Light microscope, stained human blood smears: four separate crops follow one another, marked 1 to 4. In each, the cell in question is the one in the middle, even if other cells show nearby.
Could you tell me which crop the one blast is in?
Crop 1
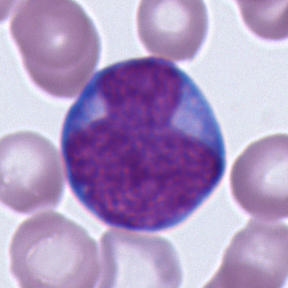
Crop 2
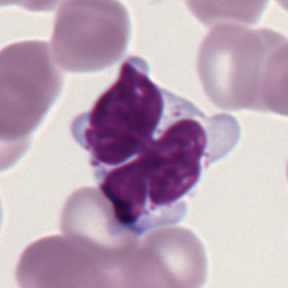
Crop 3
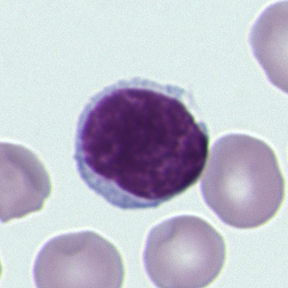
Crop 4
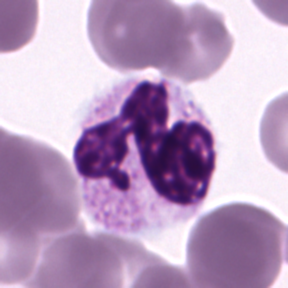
1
